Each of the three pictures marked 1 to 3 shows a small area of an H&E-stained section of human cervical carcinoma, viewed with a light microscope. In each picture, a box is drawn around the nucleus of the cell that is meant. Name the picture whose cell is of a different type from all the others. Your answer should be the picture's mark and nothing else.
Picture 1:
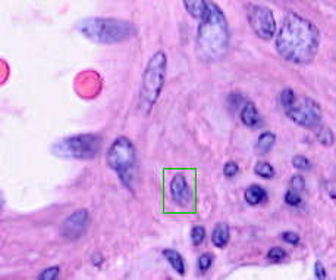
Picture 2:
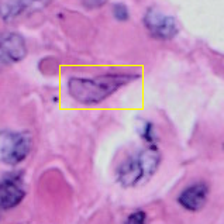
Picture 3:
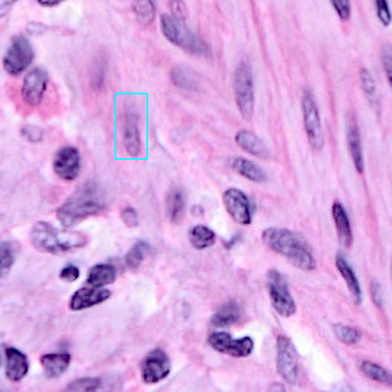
2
